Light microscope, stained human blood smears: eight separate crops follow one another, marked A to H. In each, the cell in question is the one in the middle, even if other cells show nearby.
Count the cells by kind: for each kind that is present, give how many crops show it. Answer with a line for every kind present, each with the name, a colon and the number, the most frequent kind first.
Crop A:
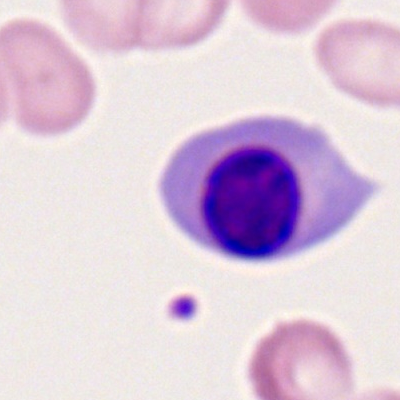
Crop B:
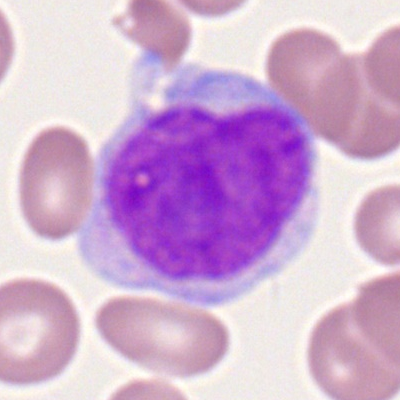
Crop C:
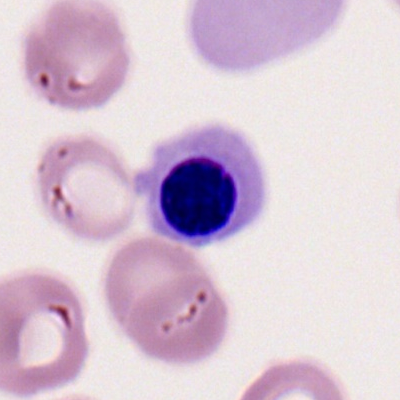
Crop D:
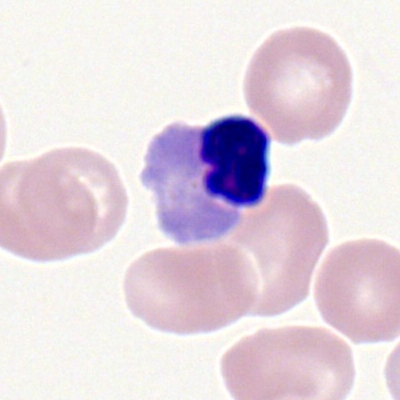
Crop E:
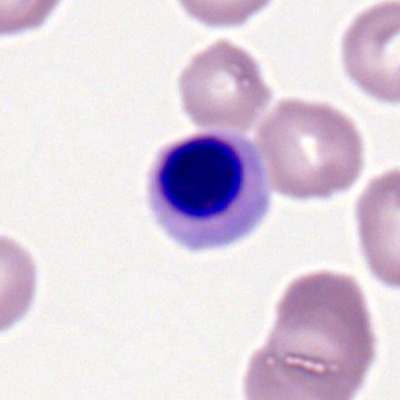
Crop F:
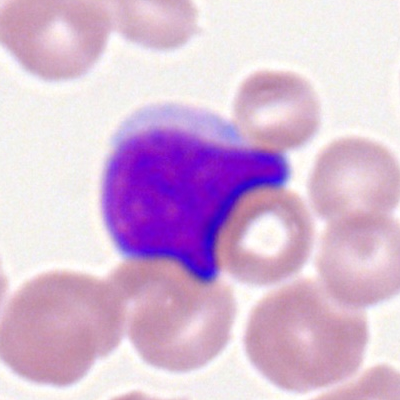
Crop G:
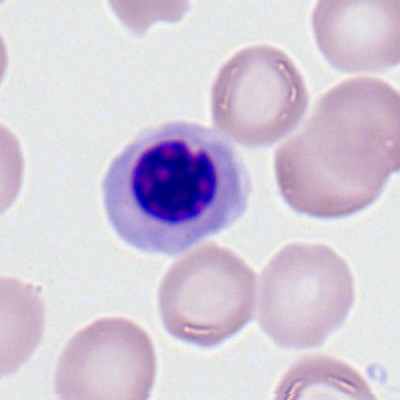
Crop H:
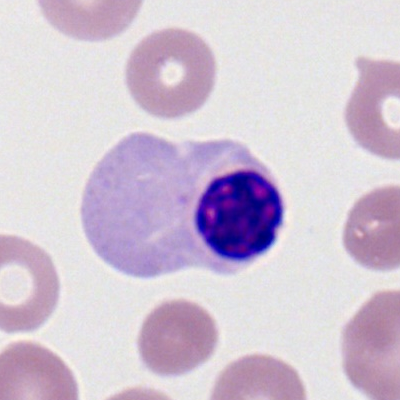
normoblast: 6
myeloblast: 2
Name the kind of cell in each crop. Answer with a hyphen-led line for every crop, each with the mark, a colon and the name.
- A: normoblast
- B: myeloblast
- C: normoblast
- D: normoblast
- E: normoblast
- F: myeloblast
- G: normoblast
- H: normoblast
